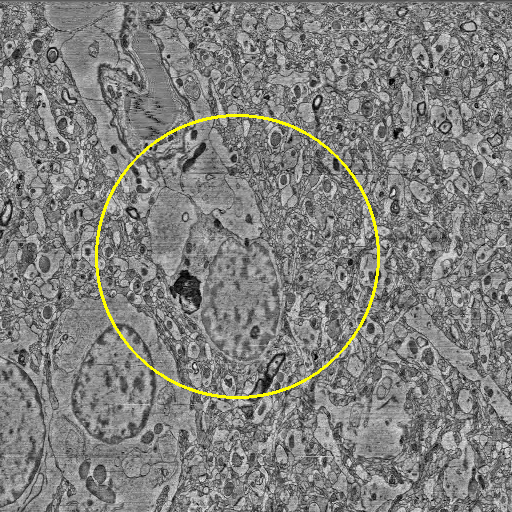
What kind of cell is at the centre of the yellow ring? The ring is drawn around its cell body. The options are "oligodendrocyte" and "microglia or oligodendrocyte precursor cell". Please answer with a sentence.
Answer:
The yellow ring marks the cell body of an oligodendrocyte.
